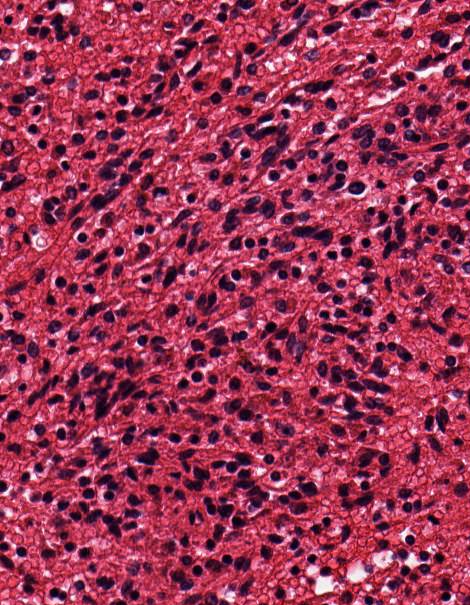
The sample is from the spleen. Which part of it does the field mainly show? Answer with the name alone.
red pulp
